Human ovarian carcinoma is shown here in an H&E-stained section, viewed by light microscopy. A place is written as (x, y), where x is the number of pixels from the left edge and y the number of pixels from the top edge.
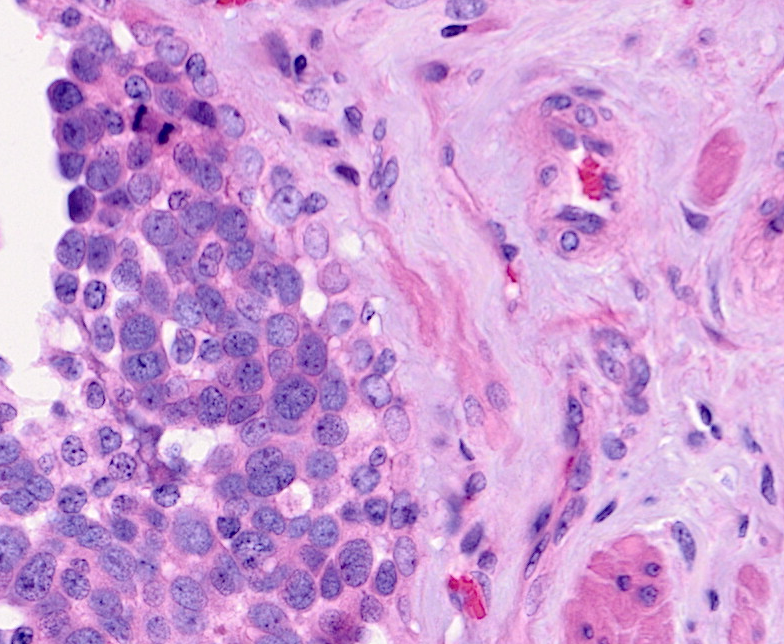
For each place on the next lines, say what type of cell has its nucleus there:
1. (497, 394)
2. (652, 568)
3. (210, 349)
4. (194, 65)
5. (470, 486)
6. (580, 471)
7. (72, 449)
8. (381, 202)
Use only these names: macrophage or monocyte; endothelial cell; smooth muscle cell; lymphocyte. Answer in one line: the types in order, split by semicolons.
smooth muscle cell; smooth muscle cell; macrophage or monocyte; macrophage or monocyte; endothelial cell; endothelial cell; macrophage or monocyte; endothelial cell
